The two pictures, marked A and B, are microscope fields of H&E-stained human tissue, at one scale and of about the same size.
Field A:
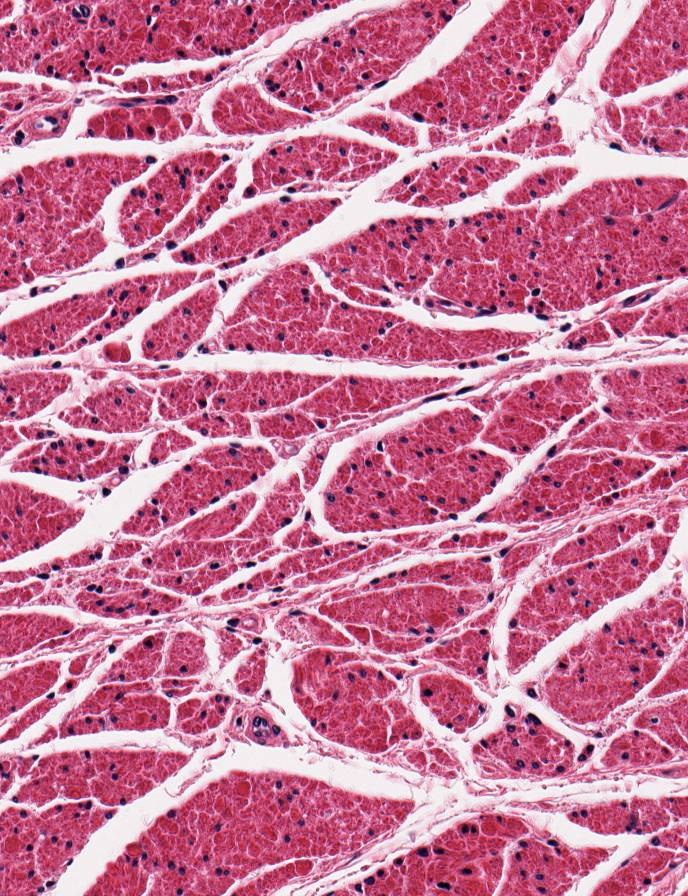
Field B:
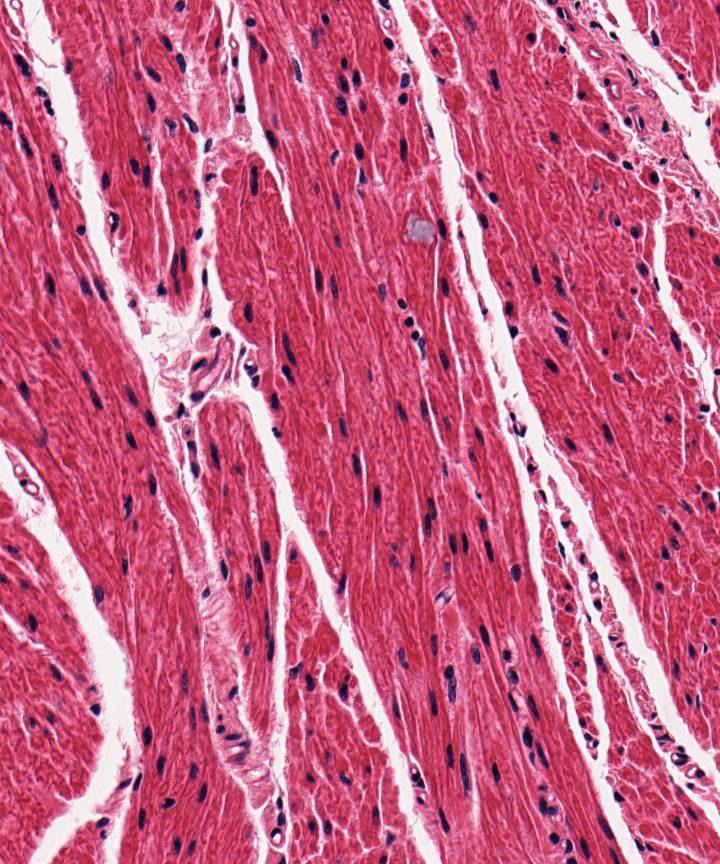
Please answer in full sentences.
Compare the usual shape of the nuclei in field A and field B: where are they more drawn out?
On the whole the nuclei of field B are more drawn out than those of field A.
